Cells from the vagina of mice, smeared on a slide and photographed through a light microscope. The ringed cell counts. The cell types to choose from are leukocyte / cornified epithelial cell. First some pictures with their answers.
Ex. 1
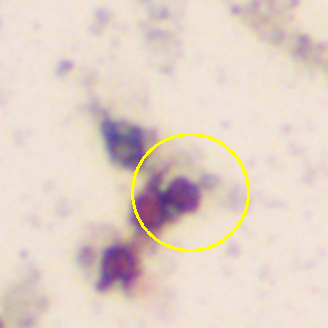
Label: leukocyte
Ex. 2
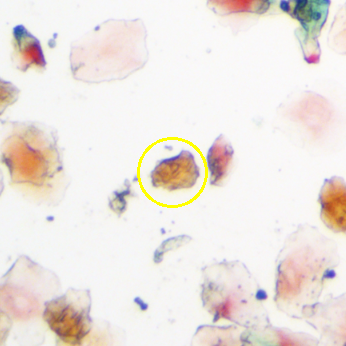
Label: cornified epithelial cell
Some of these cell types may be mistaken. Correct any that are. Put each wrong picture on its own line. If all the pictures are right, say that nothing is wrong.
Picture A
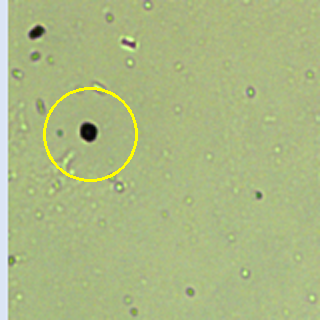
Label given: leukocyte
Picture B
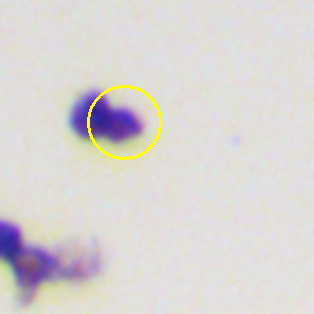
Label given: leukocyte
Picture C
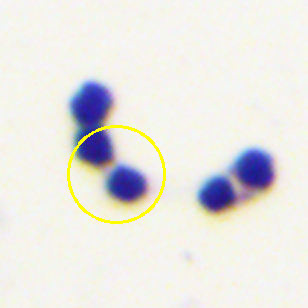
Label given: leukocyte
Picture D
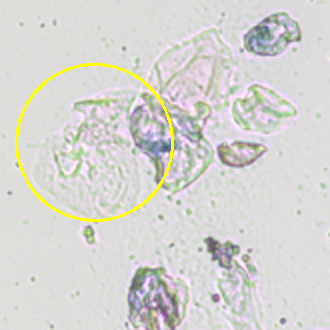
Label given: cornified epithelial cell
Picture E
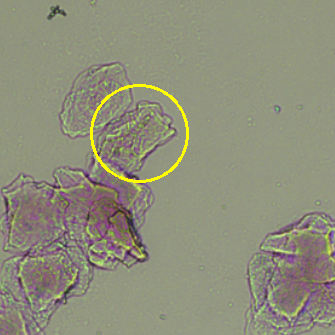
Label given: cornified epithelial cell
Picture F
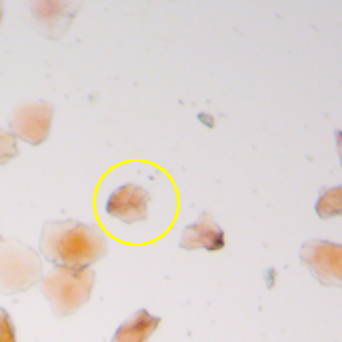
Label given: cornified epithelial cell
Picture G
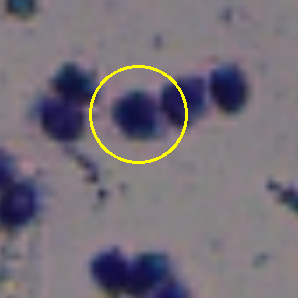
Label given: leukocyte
None of the labels needs changing.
